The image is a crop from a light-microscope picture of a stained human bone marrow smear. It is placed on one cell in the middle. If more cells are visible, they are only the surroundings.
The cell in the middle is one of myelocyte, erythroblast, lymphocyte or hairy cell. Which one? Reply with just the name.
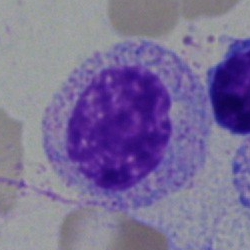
myelocyte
